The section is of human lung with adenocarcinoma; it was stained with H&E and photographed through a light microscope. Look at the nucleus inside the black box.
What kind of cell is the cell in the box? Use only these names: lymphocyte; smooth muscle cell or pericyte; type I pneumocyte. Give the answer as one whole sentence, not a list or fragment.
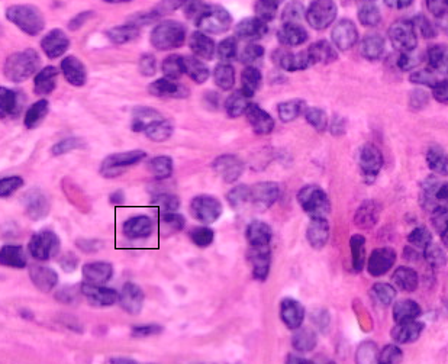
Recorded by type, the cell in the box is a lymphocyte.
